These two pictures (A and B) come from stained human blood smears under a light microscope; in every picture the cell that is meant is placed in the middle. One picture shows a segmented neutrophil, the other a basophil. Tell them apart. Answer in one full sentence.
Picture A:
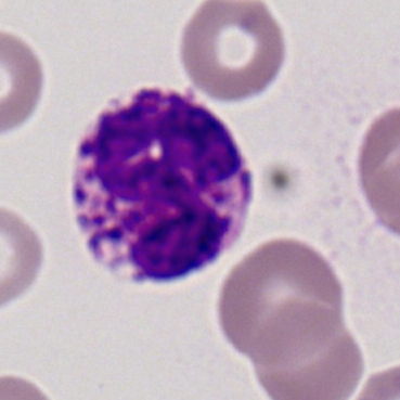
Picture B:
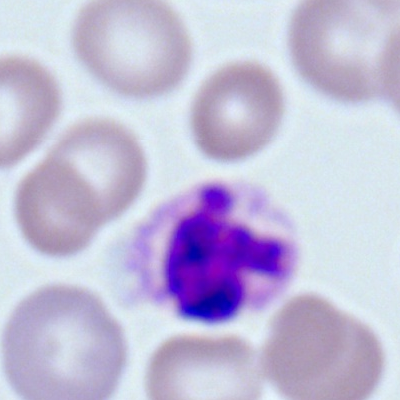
Picture A is of a basophil, and picture B is of a segmented neutrophil.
